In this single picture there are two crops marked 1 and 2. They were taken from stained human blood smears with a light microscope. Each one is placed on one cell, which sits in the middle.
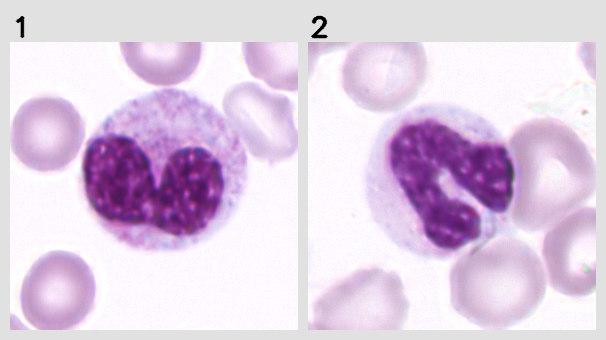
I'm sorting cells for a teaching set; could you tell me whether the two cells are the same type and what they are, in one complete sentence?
Yes, the centre cells of both crops are band neutrophils.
